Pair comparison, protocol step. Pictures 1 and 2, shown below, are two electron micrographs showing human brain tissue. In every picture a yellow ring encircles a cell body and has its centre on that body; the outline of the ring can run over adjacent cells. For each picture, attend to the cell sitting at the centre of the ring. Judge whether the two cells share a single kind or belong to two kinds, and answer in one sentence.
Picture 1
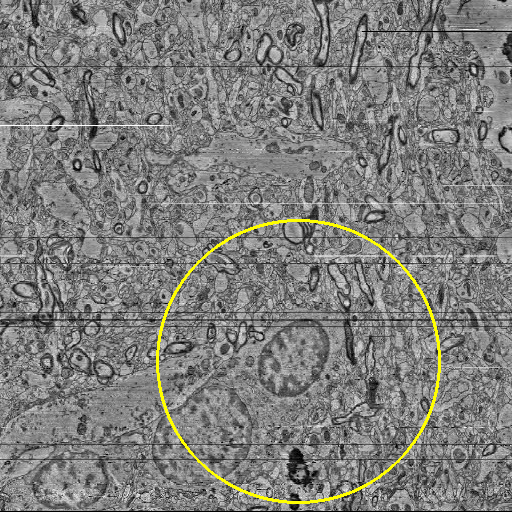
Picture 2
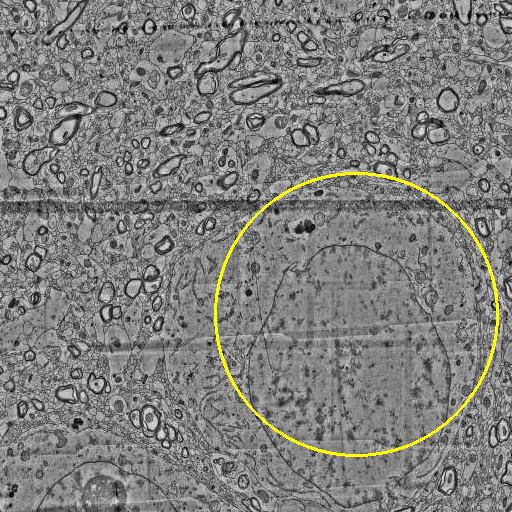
The two cells at the ring centres in Picture 1 and Picture 2 belong to two kinds.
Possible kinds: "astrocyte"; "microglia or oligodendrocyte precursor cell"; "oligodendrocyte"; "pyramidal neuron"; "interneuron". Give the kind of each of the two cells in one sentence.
The cell in the second picture is a pyramidal neuron, and that in the first is an oligodendrocyte.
